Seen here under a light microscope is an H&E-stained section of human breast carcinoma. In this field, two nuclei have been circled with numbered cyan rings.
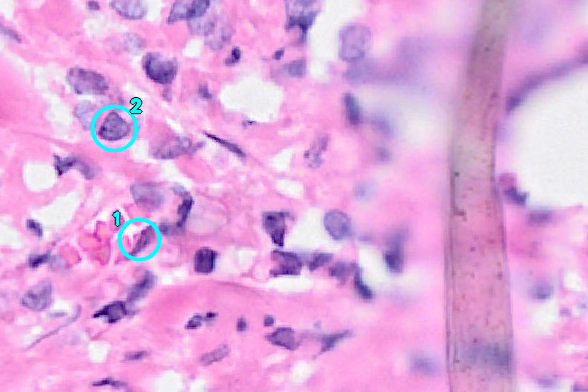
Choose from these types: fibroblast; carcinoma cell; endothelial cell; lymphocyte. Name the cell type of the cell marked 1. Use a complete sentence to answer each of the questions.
Number 1 among the marked cells is an endothelial cell.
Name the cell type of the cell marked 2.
That cell with number 2 is a carcinoma cell.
